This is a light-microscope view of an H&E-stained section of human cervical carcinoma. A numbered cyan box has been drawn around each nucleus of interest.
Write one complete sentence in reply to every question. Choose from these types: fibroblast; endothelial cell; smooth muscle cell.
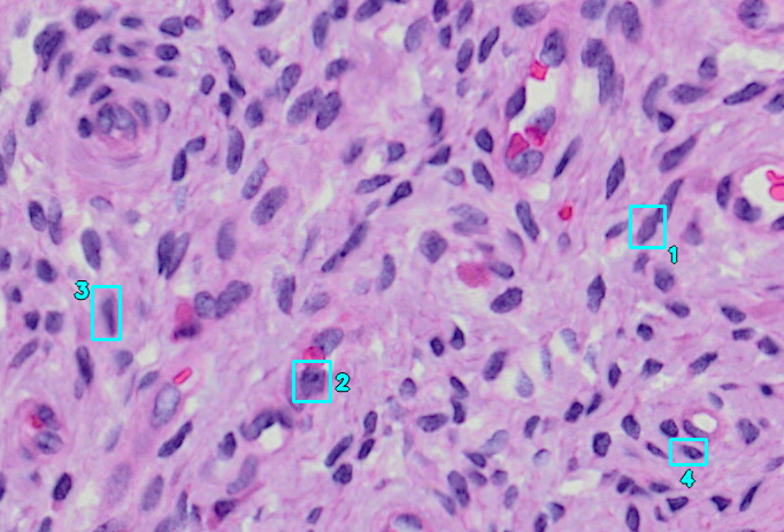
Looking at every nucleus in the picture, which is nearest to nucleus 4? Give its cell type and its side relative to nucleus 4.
Just above nucleus 4 lies the nearest nucleus, which belongs to an endothelial cell.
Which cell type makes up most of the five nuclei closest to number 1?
Around number 1, most of the five nearest nuclei are those of fibroblasts.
